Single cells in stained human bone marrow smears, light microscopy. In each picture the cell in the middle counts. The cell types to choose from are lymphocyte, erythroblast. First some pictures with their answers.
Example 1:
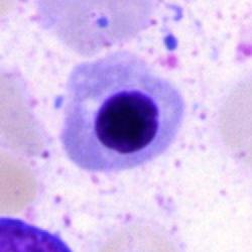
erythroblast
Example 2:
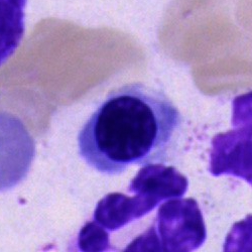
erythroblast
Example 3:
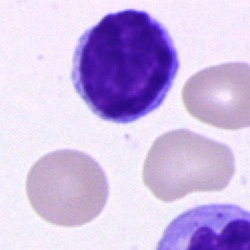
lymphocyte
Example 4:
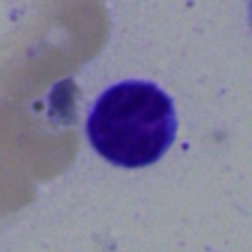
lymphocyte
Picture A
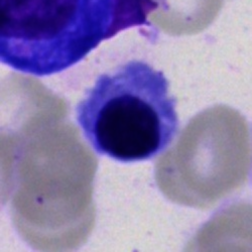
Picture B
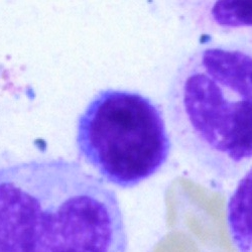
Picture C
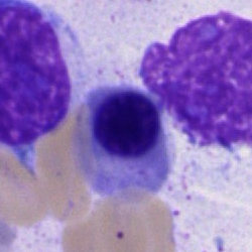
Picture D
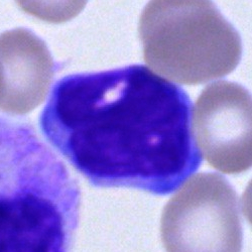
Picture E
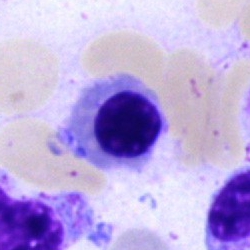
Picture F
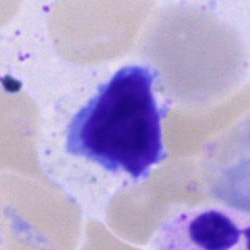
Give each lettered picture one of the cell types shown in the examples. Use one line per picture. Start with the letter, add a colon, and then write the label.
A: erythroblast
B: lymphocyte
C: erythroblast
D: lymphocyte
E: erythroblast
F: lymphocyte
